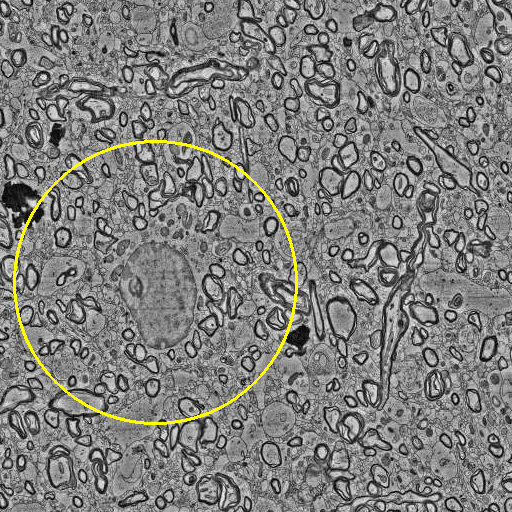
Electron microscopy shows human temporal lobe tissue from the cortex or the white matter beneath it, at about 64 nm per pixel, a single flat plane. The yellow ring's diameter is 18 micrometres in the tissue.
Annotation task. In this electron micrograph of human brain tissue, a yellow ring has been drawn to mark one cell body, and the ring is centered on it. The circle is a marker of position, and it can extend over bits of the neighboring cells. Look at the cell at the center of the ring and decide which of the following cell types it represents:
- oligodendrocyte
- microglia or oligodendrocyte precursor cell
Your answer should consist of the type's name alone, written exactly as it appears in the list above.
oligodendrocyte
